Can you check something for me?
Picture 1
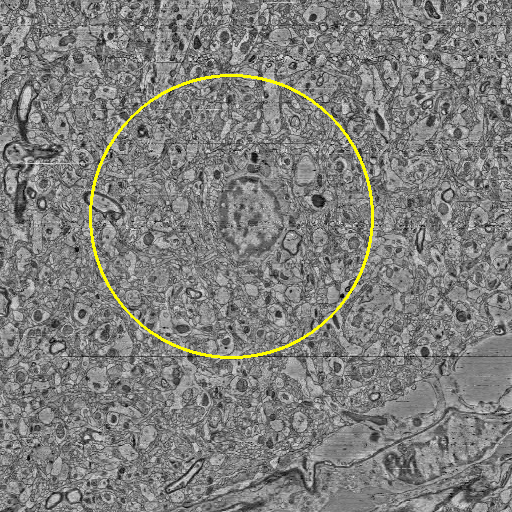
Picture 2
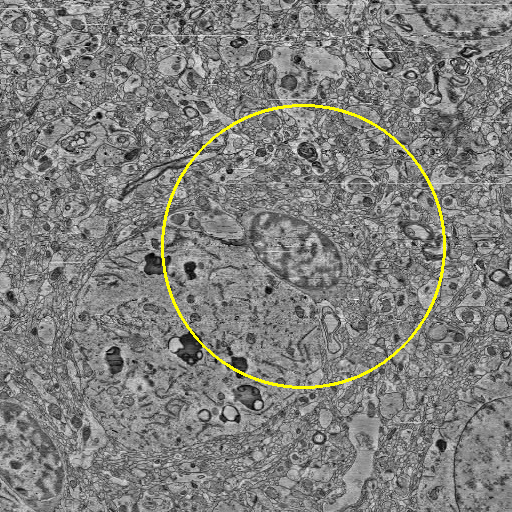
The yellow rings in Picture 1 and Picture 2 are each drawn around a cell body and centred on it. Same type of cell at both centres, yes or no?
yes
